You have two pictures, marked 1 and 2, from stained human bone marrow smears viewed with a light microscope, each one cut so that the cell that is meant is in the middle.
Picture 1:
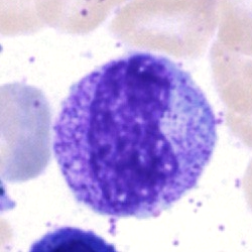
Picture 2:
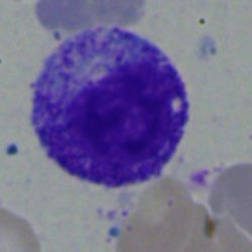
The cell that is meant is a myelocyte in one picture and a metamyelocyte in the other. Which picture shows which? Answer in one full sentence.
It is picture 1 that shows a metamyelocyte, and picture 2 that shows a myelocyte.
